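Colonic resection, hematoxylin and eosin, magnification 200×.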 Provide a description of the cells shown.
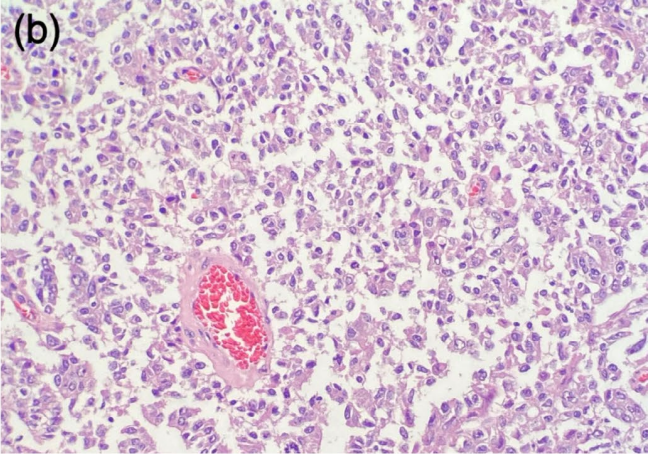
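These are epithelioid tumour cells lying loosely in a discohesive sheet, with clear spaces separating many of them. A small blood vessel filled with red blood cells runs through the lower left of the field.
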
